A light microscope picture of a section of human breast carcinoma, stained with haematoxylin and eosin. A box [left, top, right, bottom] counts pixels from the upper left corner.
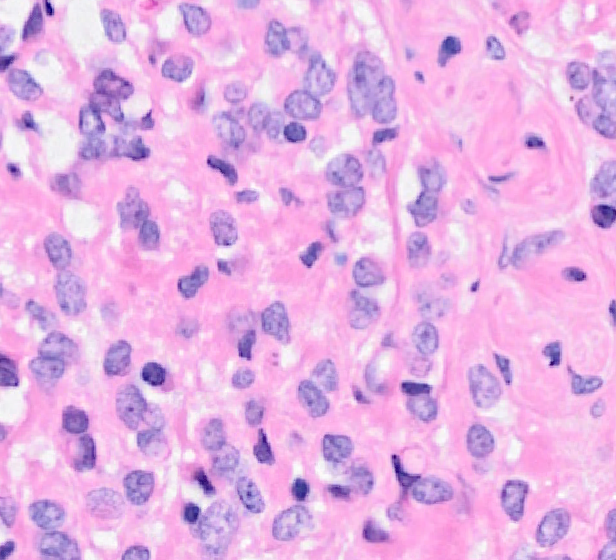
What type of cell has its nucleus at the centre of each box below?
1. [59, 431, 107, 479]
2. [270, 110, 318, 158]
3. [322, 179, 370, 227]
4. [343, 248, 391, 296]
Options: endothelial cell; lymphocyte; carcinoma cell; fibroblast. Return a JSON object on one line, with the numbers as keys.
{"1": "carcinoma cell", "2": "lymphocyte", "3": "carcinoma cell", "4": "carcinoma cell"}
